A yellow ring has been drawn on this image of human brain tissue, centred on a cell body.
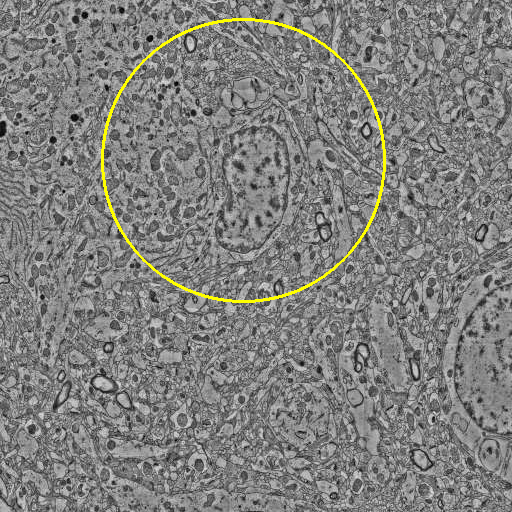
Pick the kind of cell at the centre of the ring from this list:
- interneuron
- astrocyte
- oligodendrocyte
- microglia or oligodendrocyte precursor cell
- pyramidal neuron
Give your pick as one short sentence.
The centre of the ring holds an interneuron.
